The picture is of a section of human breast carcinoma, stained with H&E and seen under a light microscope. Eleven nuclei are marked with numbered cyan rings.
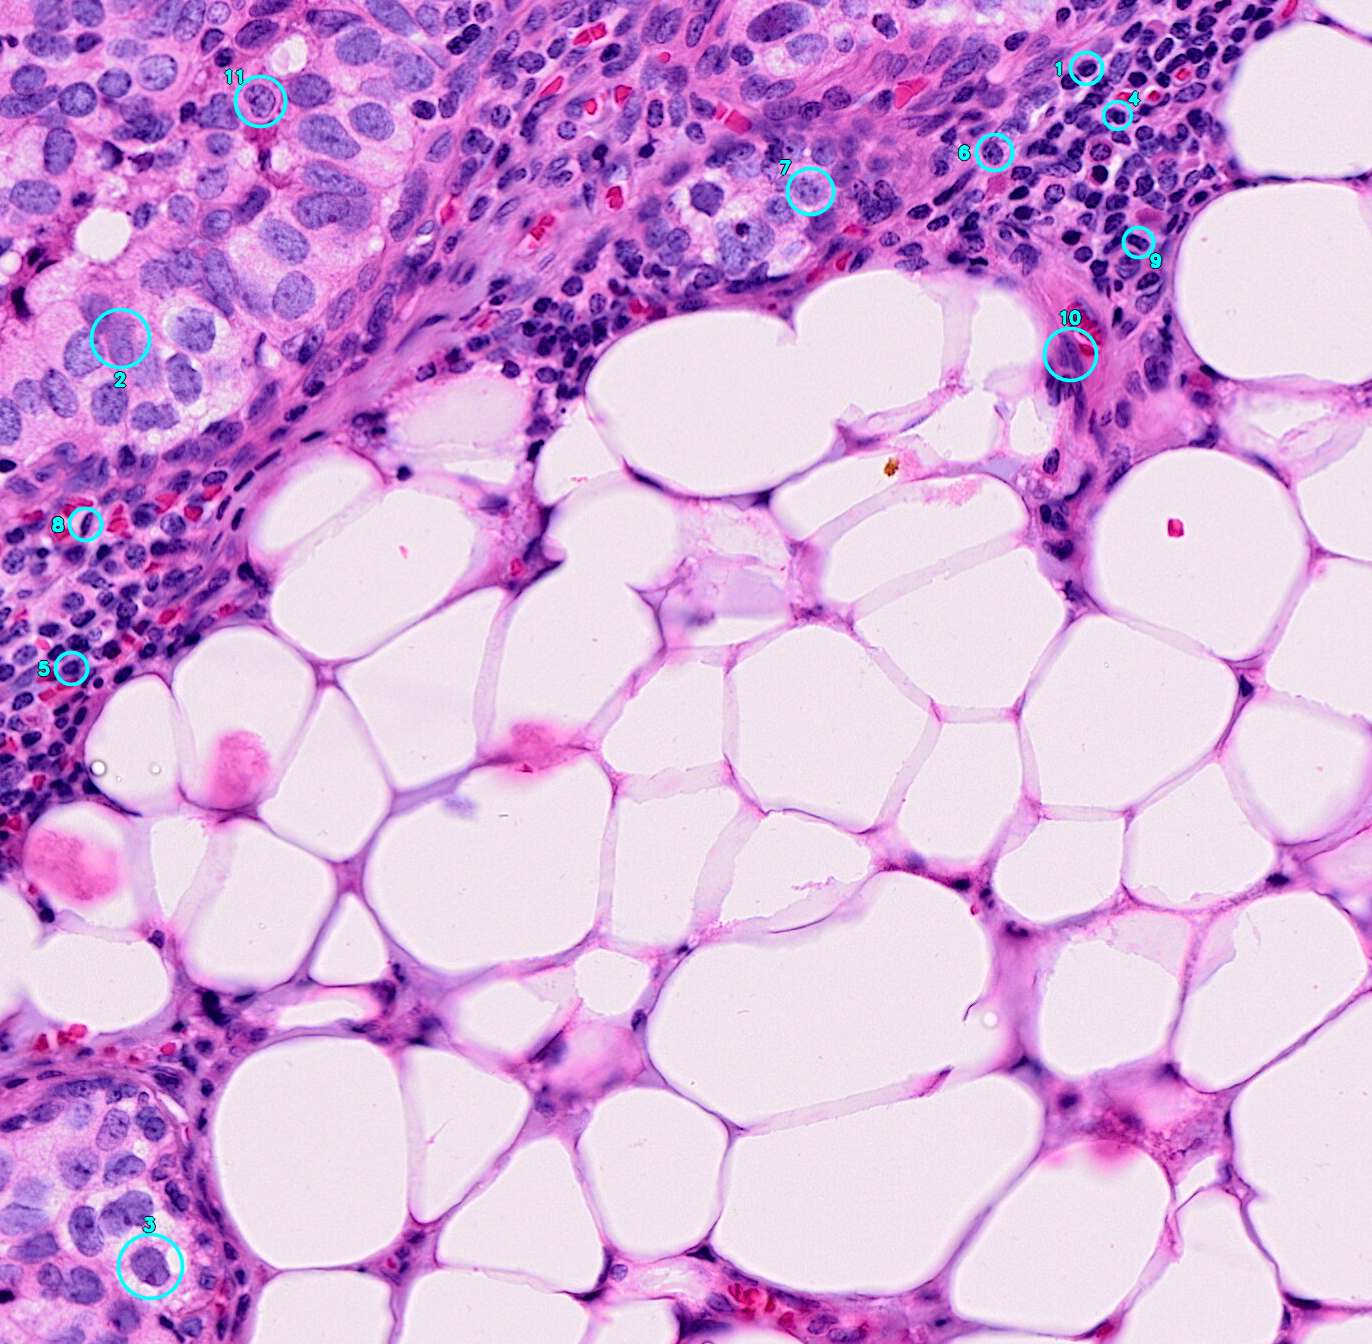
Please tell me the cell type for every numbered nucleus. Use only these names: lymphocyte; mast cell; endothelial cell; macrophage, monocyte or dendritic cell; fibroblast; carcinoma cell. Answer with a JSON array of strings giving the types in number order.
["lymphocyte", "carcinoma cell", "carcinoma cell", "lymphocyte", "lymphocyte", "mast cell", "carcinoma cell", "endothelial cell", "lymphocyte", "endothelial cell", "carcinoma cell"]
